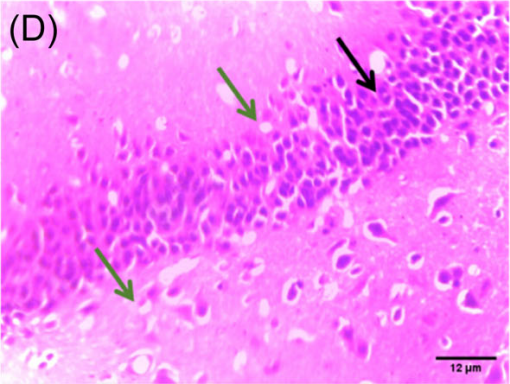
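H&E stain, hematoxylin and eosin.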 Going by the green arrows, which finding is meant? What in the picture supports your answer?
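The green arrows point to small clear spaces at the edge of the cell band. The spaces appear as white holes in the pink tissue. The answer: vacuolization.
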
